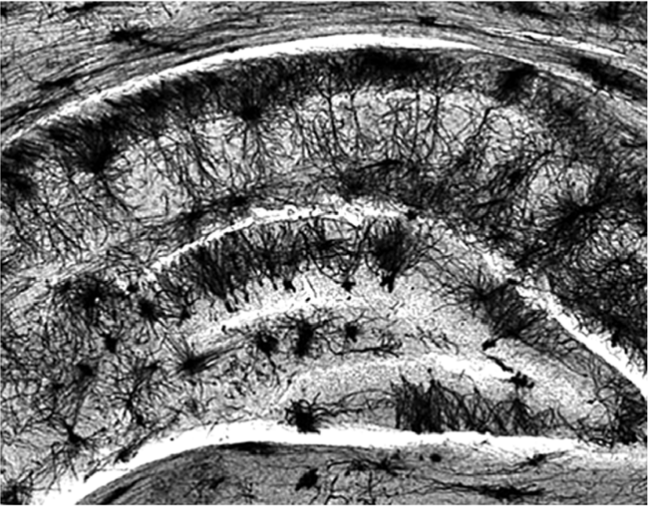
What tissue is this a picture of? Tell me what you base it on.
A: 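Hippocampus. Curved, C-shaped bands of tissue are nested inside one another. Scattered cells are impregnated black with many branching processes against a pale background. A streaky fibre band runs along the top edge.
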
